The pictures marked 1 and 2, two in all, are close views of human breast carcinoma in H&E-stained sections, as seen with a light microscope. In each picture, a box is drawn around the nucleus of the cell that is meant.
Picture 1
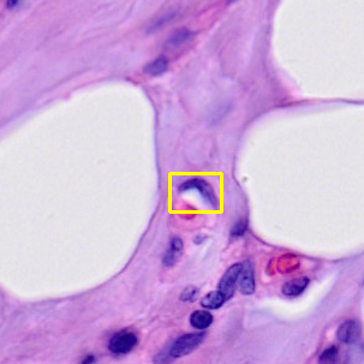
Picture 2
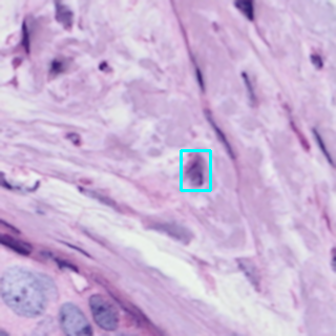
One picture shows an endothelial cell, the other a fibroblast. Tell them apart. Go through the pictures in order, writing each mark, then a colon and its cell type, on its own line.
1: endothelial cell
2: fibroblast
